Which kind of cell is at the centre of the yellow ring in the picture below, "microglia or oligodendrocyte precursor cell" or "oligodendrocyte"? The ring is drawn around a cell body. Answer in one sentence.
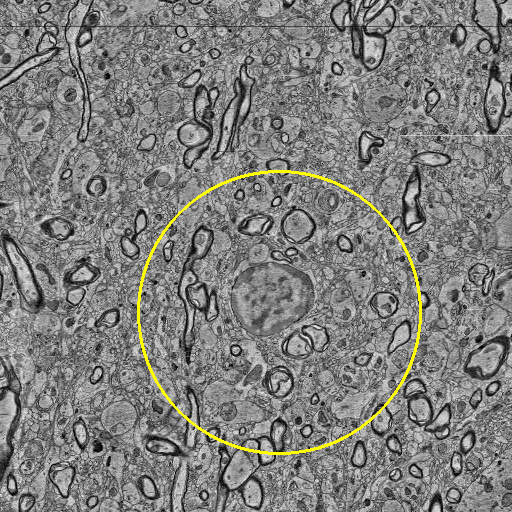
The ring's central cell is a microglial cell or oligodendrocyte precursor cell.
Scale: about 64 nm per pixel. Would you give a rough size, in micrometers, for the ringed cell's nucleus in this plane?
The nucleus comes to roughly 5 by 4 micrometres in this plane.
